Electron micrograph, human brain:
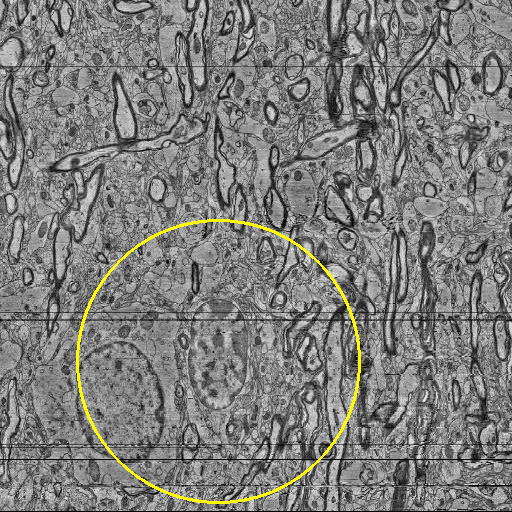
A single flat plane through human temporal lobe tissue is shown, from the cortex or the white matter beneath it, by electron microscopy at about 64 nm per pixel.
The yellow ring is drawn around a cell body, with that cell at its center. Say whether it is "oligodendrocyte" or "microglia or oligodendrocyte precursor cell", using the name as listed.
microglia or oligodendrocyte precursor cell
